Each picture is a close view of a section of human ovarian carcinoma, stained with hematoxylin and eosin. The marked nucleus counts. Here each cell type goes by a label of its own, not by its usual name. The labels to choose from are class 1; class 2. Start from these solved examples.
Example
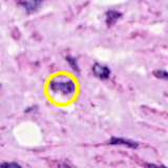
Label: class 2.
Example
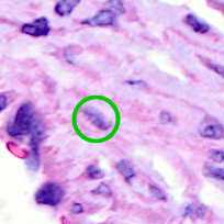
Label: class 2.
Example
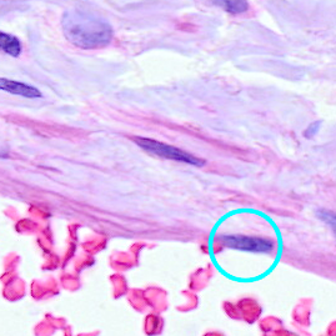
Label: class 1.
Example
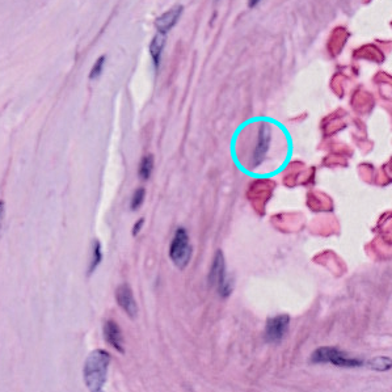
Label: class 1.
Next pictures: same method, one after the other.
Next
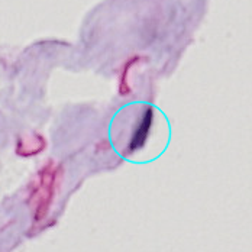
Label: class 1.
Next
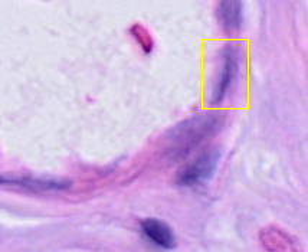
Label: class 1.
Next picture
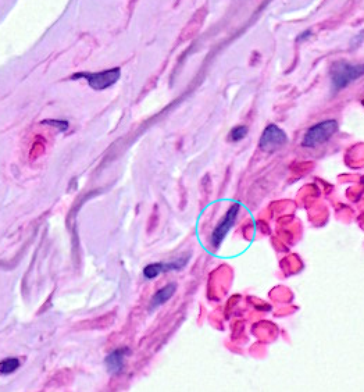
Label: class 1.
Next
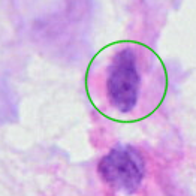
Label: class 2.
